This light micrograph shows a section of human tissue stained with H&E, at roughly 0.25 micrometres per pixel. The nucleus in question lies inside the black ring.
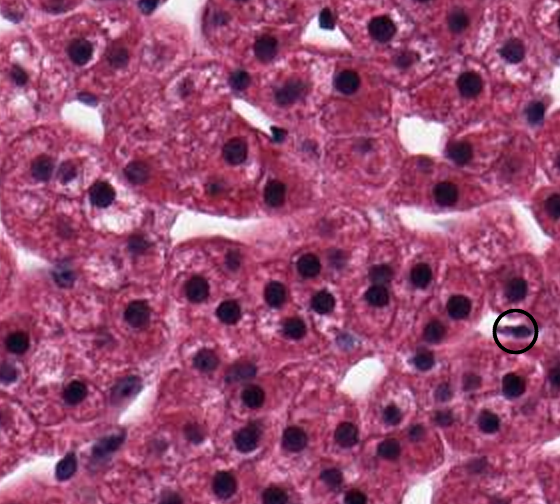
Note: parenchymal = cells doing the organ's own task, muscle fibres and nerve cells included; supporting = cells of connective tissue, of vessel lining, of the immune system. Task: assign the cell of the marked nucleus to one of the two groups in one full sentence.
Among the cells in view, a supporting cell holds the marked nucleus.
